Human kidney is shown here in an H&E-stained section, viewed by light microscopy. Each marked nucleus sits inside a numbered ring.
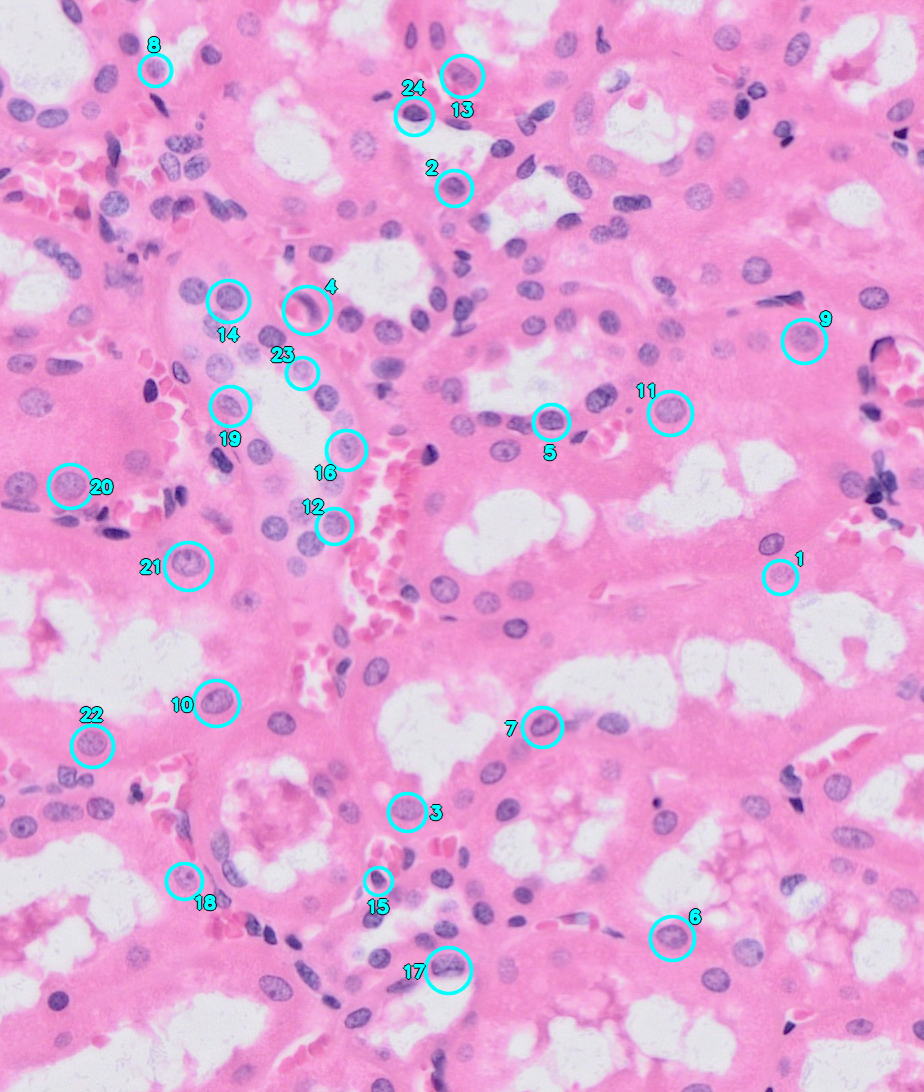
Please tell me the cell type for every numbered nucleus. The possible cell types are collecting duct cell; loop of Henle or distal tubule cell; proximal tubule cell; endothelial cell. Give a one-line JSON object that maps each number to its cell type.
{"1": "proximal tubule cell", "2": "loop of Henle or distal tubule cell", "3": "proximal tubule cell", "4": "endothelial cell", "5": "loop of Henle or distal tubule cell", "6": "proximal tubule cell", "7": "proximal tubule cell", "8": "loop of Henle or distal tubule cell", "9": "proximal tubule cell", "10": "proximal tubule cell", "11": "proximal tubule cell", "12": "collecting duct cell", "13": "proximal tubule cell", "14": "collecting duct cell", "15": "endothelial cell", "16": "collecting duct cell", "17": "loop of Henle or distal tubule cell", "18": "proximal tubule cell", "19": "collecting duct cell", "20": "proximal tubule cell", "21": "proximal tubule cell", "22": "proximal tubule cell", "23": "collecting duct cell", "24": "loop of Henle or distal tubule cell"}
